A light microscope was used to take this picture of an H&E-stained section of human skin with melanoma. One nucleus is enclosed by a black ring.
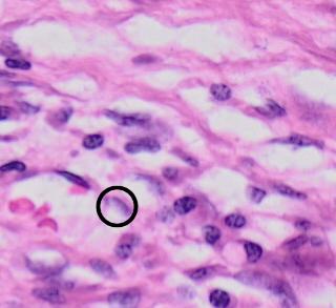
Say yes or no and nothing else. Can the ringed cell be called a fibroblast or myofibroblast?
yes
